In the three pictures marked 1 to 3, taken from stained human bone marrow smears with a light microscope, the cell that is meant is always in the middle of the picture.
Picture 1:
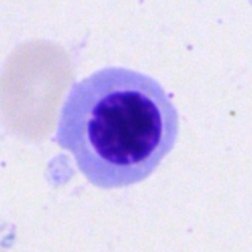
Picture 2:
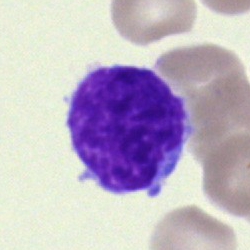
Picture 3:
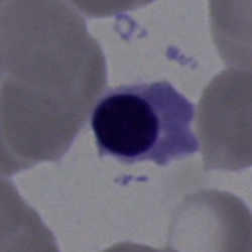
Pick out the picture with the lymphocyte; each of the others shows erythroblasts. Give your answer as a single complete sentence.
The cell in picture 2 is the lymphocyte.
